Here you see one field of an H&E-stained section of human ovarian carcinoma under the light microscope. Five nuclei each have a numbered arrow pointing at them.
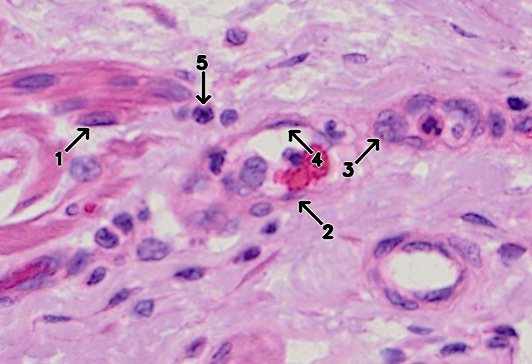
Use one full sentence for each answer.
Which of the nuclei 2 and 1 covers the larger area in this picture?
Number 1 is larger; its area is about 2.5 times that of number 2.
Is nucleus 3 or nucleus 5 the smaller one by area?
With nucleus 3 about 2.5 times its size, nucleus 5 is the smaller of the two.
